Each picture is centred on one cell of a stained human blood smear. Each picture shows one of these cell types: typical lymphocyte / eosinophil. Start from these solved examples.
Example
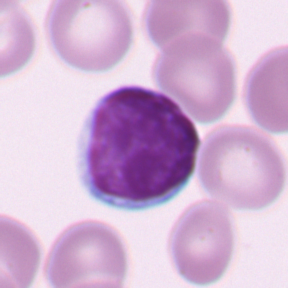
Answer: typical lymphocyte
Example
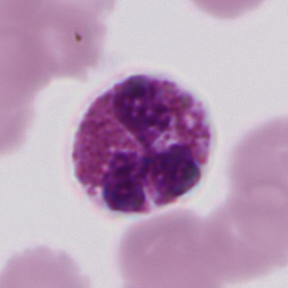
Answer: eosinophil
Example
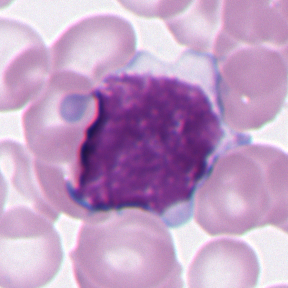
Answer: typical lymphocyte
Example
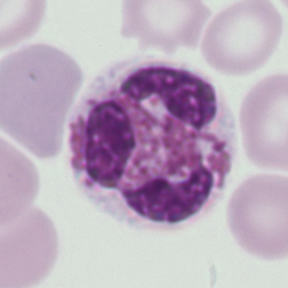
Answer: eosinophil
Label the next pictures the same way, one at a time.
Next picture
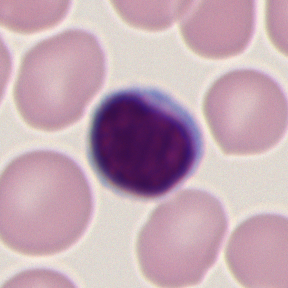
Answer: typical lymphocyte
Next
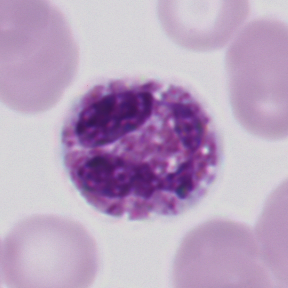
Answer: eosinophil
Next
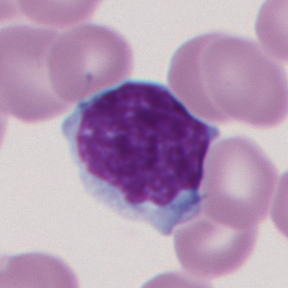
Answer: typical lymphocyte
